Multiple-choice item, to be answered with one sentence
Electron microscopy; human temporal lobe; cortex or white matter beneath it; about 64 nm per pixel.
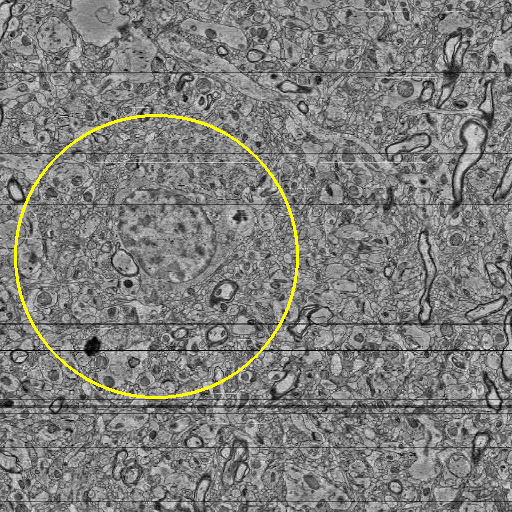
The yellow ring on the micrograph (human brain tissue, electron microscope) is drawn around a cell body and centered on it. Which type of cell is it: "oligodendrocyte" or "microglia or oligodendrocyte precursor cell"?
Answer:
The ring is centered on an oligodendrocyte.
